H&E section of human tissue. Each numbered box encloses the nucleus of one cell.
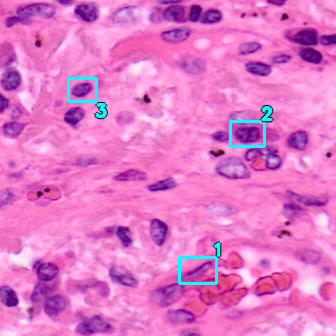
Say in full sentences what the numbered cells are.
Cell 1 is an endothelial cell. Cell 2 is a plasma cell. Cell 3 is a mast cell.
